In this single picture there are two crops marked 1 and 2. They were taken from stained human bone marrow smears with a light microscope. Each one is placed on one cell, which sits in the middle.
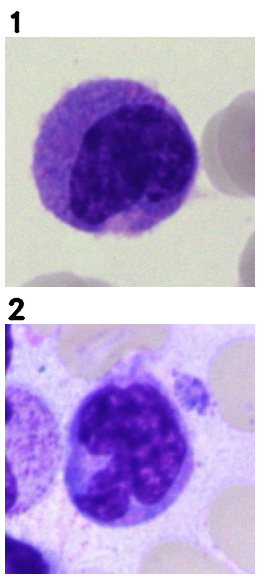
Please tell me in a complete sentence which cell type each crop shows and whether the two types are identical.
Yes, both of the crops show monocytes.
